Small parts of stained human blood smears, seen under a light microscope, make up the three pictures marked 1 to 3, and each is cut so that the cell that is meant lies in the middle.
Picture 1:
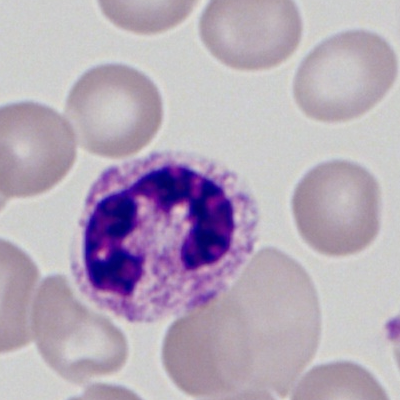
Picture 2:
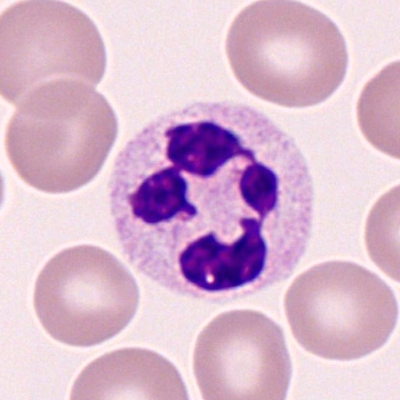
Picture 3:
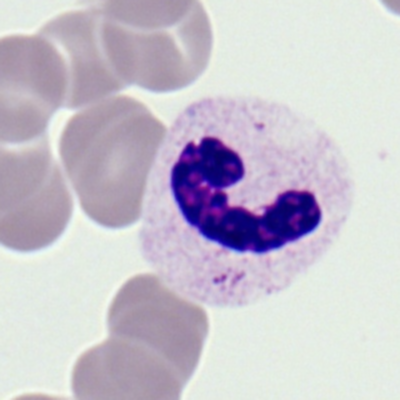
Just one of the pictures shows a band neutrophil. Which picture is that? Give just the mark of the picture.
3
